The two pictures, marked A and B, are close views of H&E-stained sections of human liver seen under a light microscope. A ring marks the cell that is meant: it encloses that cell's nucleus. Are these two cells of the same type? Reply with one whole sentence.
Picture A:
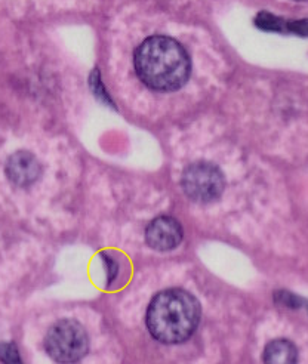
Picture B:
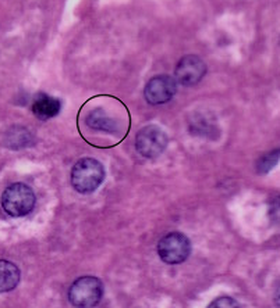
No, they differ: the cell is an endothelial cell in picture A and a Kupffer cell in picture B.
